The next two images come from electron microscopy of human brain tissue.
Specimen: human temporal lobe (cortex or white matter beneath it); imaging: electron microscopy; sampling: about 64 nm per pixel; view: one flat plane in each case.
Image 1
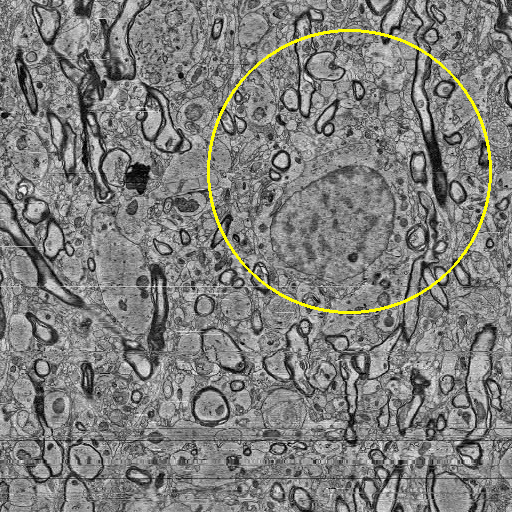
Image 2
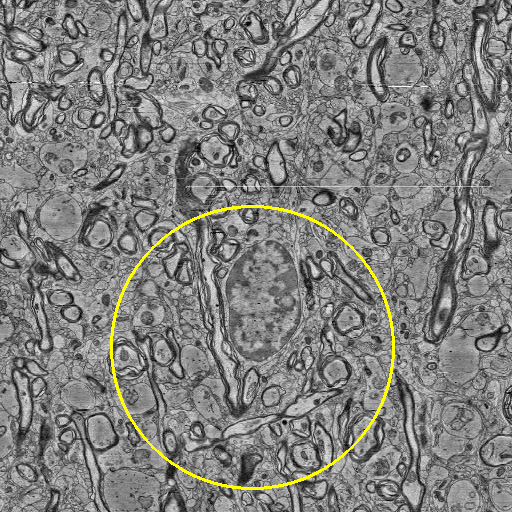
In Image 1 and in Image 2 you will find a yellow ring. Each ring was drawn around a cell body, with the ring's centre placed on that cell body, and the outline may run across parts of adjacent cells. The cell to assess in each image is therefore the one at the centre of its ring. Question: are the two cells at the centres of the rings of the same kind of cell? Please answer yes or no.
no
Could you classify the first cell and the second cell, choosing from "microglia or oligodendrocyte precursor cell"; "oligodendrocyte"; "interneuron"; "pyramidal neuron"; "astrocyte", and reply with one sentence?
The second cell is a microglial cell or oligodendrocyte precursor cell, while the first is an oligodendrocyte.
